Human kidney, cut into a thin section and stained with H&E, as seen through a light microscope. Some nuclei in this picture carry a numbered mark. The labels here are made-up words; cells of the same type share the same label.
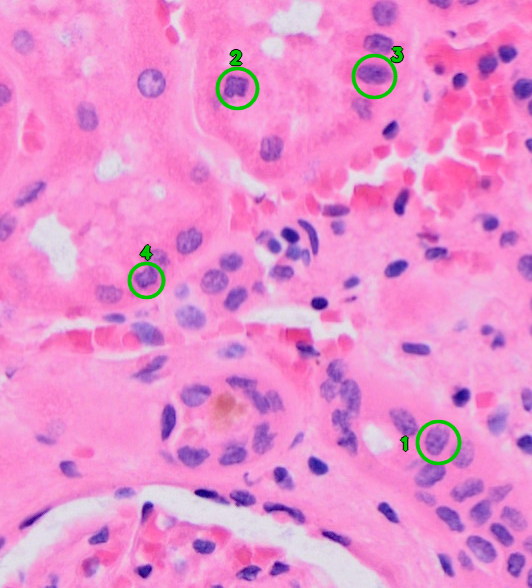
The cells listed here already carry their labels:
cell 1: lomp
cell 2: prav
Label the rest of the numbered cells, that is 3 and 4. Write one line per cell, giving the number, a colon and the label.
3: prav
4: prav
